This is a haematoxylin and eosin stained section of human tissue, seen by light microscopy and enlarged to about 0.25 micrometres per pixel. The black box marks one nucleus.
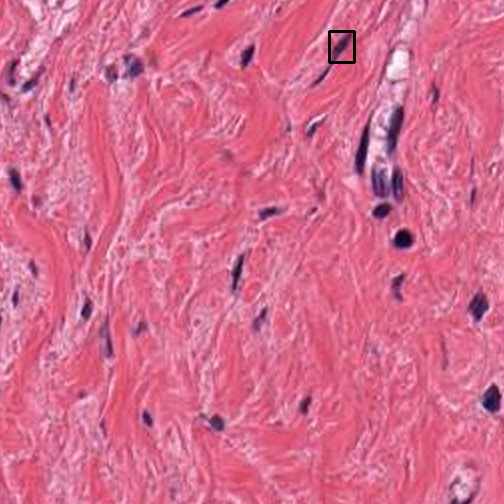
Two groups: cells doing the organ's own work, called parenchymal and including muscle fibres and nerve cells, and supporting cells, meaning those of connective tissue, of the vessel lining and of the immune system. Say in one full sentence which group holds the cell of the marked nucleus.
The marked nucleus belongs to a supporting cell.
